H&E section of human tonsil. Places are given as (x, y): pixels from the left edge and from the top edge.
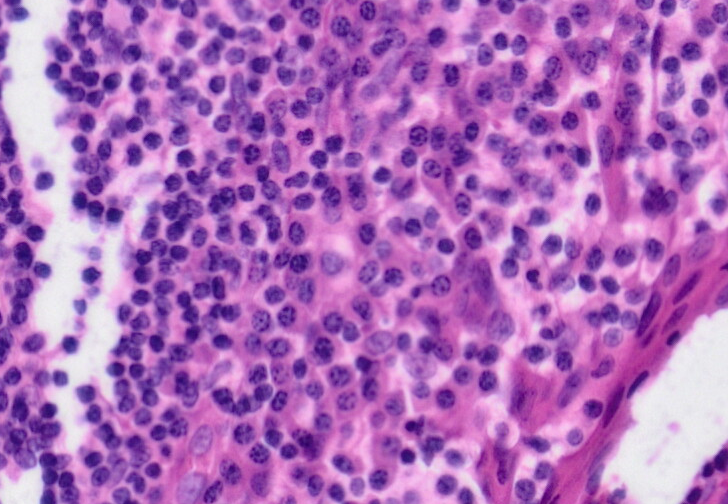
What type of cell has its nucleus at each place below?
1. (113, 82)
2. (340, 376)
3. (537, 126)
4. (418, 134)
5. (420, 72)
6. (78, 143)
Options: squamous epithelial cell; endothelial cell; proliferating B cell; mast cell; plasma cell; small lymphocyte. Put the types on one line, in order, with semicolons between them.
small lymphocyte; plasma cell; plasma cell; plasma cell; plasma cell; small lymphocyte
